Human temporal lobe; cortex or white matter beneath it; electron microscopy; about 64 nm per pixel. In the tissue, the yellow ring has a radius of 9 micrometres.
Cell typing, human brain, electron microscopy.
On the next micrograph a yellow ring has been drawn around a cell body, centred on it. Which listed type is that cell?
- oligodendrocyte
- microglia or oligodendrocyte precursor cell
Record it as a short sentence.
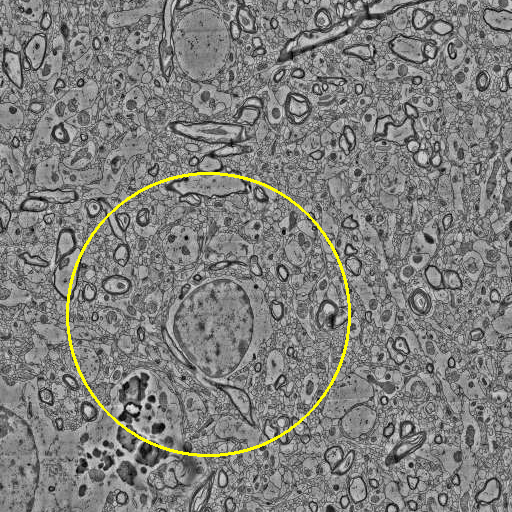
The cell body in the ring's centre belongs to a microglial cell or oligodendrocyte precursor cell.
